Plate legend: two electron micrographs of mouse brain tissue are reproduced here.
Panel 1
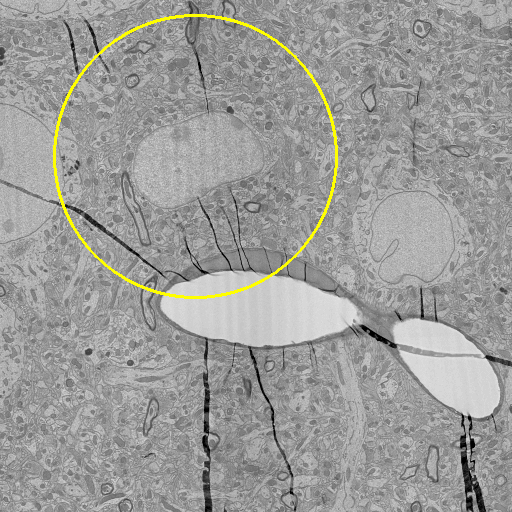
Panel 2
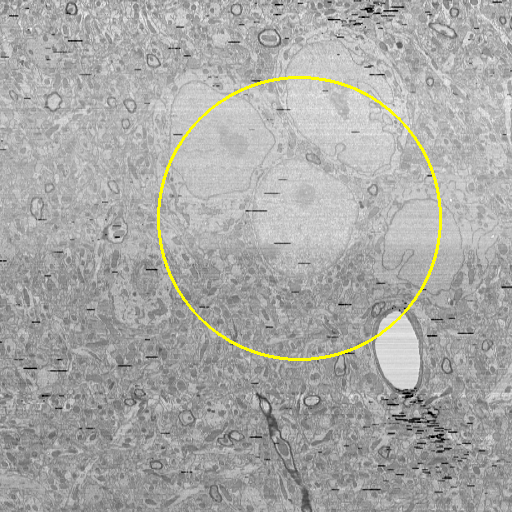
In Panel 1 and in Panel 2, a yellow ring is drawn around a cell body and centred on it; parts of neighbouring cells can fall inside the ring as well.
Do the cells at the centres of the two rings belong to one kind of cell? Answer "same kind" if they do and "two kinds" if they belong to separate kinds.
same kind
